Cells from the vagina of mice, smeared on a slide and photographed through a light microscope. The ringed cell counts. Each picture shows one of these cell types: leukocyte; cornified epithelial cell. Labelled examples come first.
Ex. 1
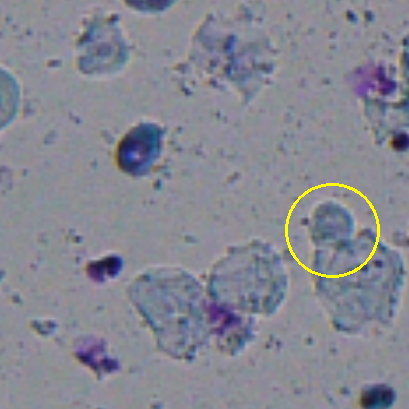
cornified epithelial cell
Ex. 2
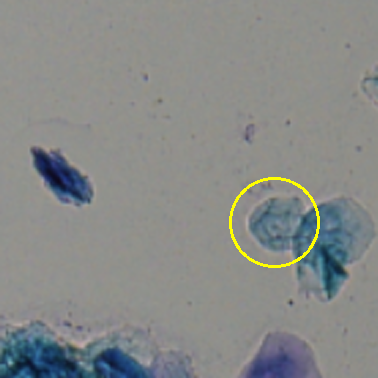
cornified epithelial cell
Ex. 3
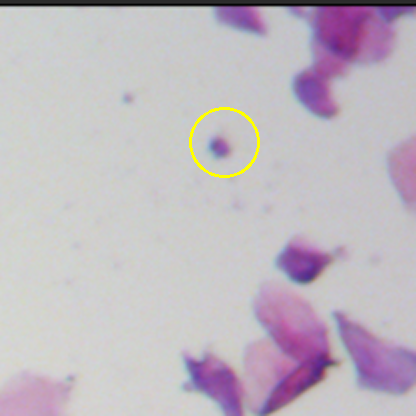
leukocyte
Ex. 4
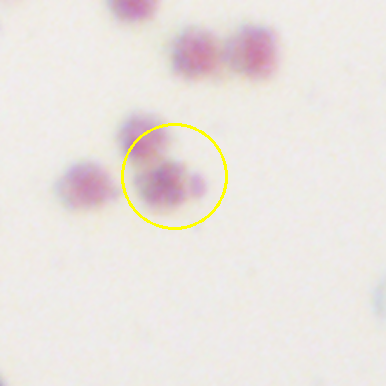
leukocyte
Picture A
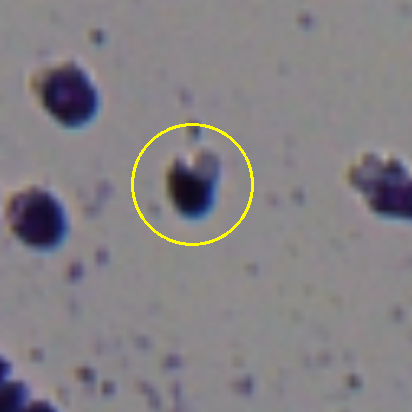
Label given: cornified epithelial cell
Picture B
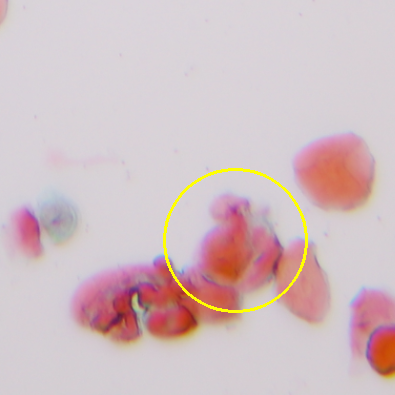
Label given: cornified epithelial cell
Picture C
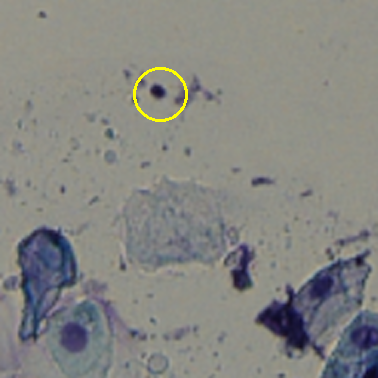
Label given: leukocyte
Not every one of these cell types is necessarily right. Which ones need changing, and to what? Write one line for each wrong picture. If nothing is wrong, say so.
A: not cornified epithelial cell but leukocyte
